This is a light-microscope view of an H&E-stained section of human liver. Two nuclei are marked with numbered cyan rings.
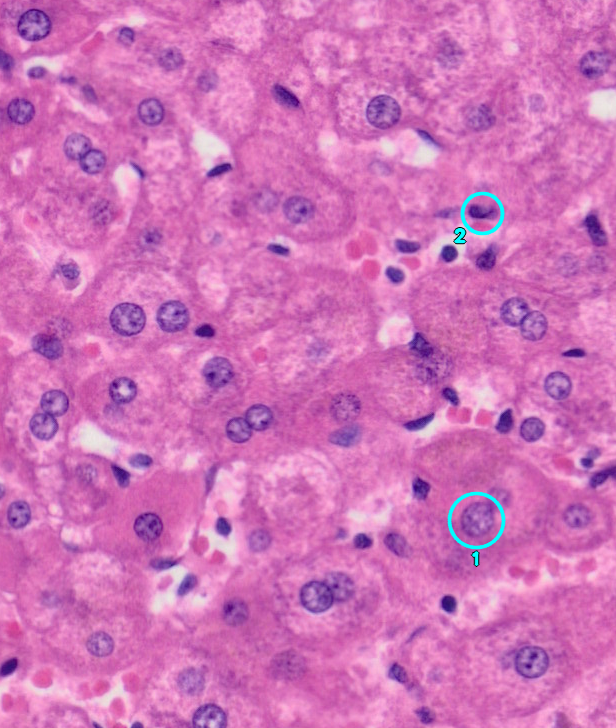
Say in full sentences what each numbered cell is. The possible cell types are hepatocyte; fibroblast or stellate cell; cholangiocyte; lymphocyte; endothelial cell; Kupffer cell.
Cell 1 is a hepatocyte. Cell 2 is a fibroblast or stellate cell.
